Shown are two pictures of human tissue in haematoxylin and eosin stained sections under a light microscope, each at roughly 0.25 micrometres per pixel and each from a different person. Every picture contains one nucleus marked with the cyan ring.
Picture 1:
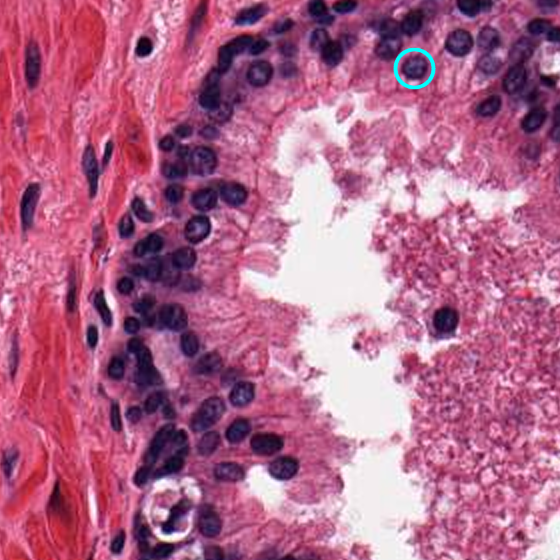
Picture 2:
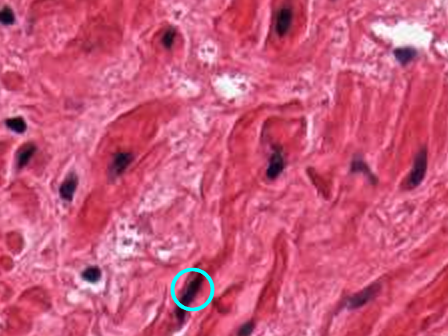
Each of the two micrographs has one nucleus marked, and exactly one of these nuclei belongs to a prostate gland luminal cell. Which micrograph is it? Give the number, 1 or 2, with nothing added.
1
